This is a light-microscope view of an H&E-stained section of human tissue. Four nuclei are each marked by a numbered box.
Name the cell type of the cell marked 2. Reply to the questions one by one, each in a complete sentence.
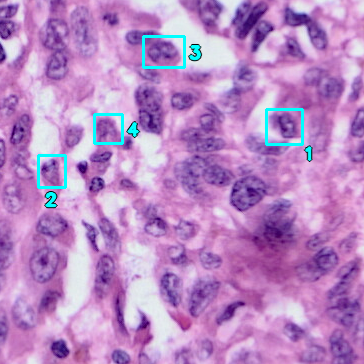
The one labeled 2 is a macrophage or monocyte, to put it simply.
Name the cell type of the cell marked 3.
Denoted by the label 3 in the section is a melanoma cell.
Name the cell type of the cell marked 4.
Cell 4 in the field of view is a melanoma cell.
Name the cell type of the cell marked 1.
The expected answer is that cell 1 is a melanoma cell.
